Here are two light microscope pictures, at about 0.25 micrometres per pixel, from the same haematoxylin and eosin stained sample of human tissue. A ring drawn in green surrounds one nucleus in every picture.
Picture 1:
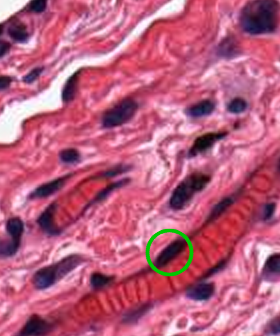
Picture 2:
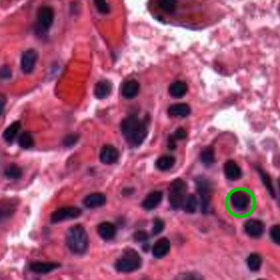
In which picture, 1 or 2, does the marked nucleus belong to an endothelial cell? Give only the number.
1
